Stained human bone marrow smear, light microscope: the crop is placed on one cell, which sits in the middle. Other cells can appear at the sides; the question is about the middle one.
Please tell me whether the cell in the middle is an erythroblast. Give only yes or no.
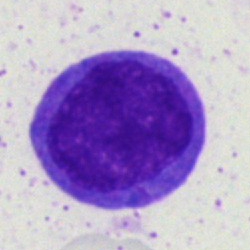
no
